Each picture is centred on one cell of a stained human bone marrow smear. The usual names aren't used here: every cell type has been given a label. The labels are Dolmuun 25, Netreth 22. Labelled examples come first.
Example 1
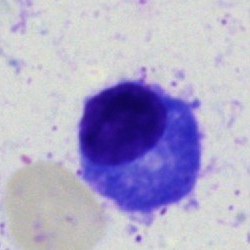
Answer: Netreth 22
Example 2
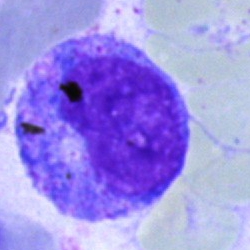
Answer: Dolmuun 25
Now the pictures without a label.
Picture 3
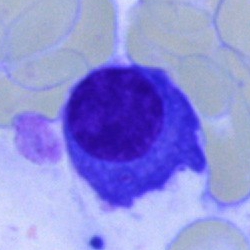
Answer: Netreth 22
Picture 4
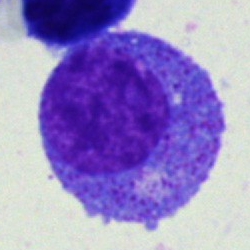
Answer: Dolmuun 25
